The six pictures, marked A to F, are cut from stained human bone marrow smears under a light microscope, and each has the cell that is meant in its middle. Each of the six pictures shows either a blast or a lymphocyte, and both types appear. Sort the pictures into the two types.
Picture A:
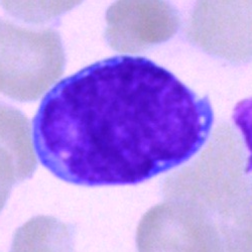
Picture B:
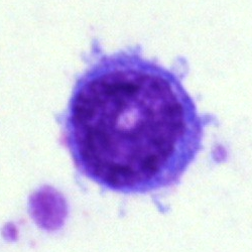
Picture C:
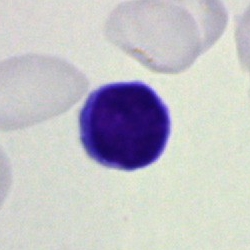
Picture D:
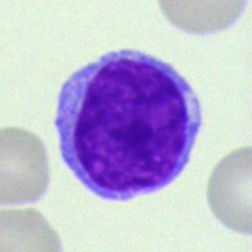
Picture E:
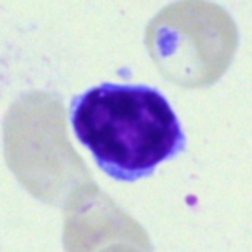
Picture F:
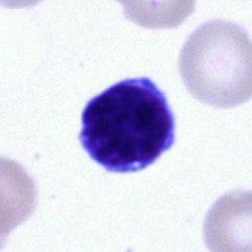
A: blast
B: blast
C: lymphocyte
D: lymphocyte
E: lymphocyte
F: lymphocyte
